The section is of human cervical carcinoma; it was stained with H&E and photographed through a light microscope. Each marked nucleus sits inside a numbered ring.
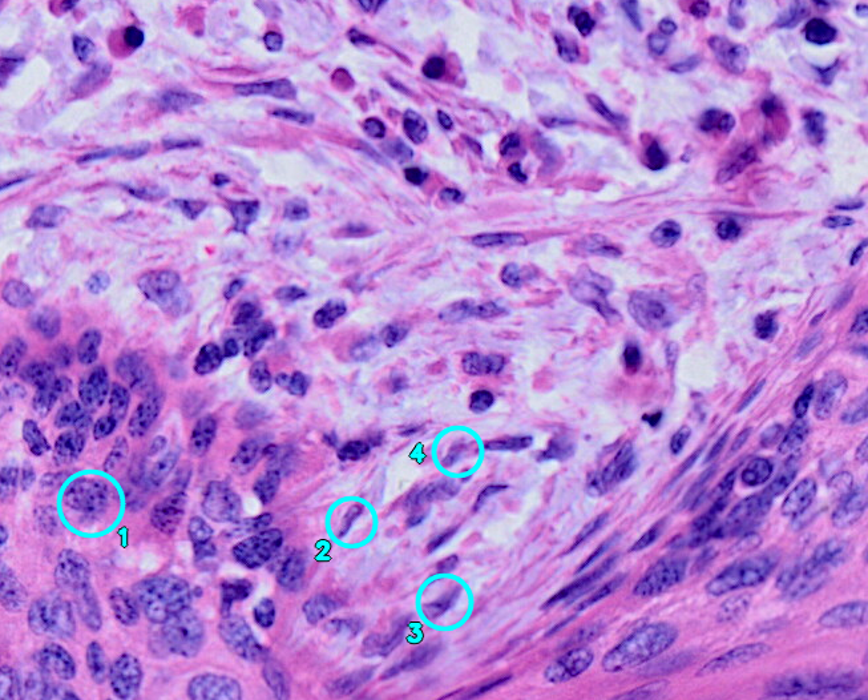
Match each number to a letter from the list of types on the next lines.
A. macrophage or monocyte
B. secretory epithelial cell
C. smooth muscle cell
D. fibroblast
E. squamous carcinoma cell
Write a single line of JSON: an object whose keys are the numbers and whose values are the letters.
{"1": "E", "2": "D", "3": "D", "4": "D"}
